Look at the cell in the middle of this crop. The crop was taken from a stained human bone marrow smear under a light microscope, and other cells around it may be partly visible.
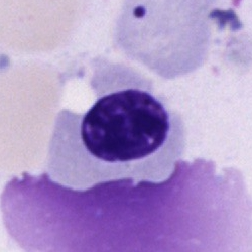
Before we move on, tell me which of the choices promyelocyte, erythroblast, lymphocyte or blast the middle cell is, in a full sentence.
Looking at the middle of the crop, the cell there is an erythroblast.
